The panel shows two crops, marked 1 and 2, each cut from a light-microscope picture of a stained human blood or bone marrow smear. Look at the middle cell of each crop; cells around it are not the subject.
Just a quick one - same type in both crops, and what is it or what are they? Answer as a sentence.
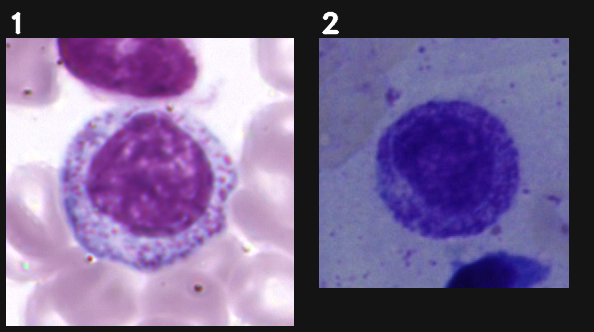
Yes, these two crops both show myelocytes.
